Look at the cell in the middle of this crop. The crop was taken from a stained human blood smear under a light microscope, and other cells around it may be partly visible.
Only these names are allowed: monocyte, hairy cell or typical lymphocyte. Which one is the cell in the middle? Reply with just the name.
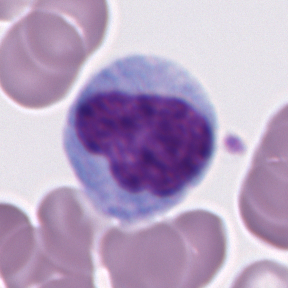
monocyte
